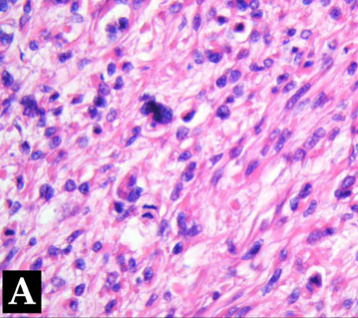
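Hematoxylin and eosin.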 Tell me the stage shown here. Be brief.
mitosis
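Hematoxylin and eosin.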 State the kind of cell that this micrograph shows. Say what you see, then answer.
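Nuclei vary widely in size and shape. Some nuclei are large, dark and irregular. Cells lie loosely in a pale, partly vacuolated background. On this evidence: pleomorphic cells.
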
